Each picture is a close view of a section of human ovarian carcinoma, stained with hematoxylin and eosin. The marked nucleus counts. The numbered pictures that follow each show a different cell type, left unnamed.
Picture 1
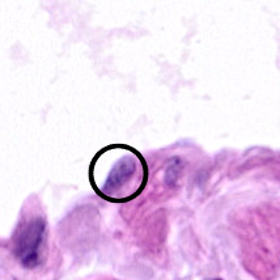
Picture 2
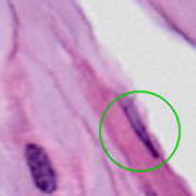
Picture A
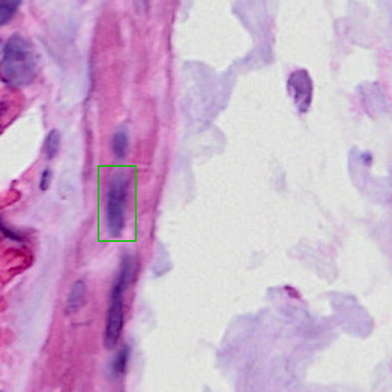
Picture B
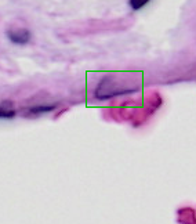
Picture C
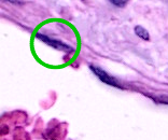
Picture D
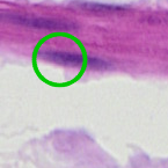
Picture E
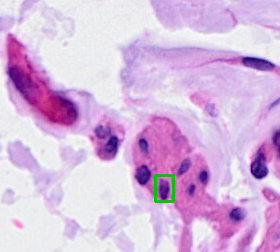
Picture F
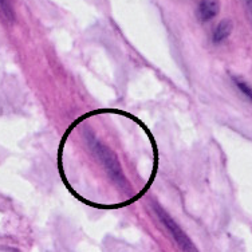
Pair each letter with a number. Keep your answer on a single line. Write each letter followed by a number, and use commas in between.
A 2, B 1, C 1, D 2, E 2, F 2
